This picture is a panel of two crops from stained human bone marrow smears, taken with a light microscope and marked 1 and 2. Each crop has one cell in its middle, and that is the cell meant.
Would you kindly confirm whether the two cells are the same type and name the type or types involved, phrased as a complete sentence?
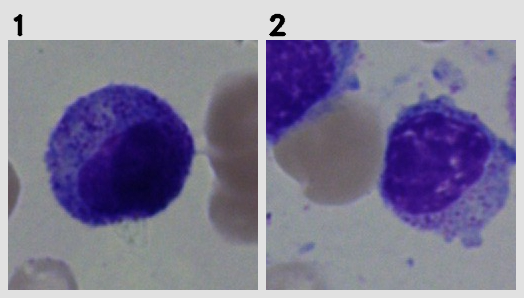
Yes, both crops alike show myelocytes at the centre.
